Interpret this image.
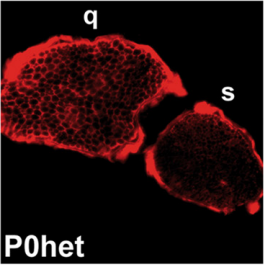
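These are cross sections through two peripheral nerve fascicles, a larger one at the top and a smaller one to the lower right. Inside each fascicle the red label forms a fine honeycomb of rings around many tightly packed, dark, round nerve fibres, marking the endoneurium between them. The outer sheath of each fascicle, the perineurium, stands out as a bright, thick red rim, strongest along the upper and left borders of the larger fascicle.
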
